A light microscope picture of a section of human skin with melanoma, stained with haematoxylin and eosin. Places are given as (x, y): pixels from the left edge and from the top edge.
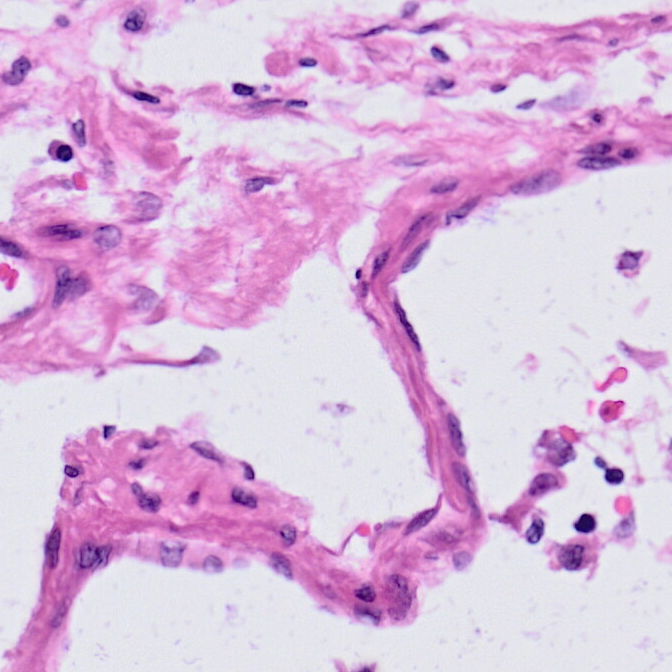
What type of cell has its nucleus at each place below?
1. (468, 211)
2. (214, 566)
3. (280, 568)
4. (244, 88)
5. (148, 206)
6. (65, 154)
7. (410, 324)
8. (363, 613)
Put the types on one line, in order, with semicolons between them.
endothelial cell; endothelial cell; endothelial cell; lymphocyte; fibroblast or myofibroblast; plasma cell; endothelial cell; endothelial cell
